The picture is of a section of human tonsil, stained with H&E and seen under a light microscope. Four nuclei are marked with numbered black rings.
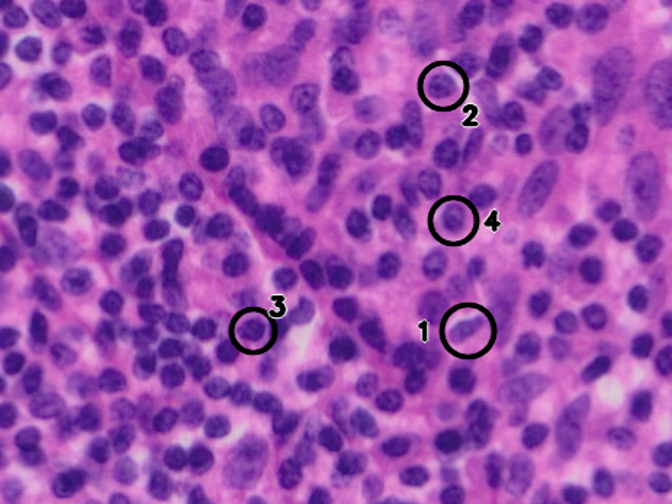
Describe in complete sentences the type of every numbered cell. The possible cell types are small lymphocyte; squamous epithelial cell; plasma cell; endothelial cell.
Cell 1 is a squamous epithelial cell. Cells 2 and 4 are plasma cells. Cell 3 is a small lymphocyte.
